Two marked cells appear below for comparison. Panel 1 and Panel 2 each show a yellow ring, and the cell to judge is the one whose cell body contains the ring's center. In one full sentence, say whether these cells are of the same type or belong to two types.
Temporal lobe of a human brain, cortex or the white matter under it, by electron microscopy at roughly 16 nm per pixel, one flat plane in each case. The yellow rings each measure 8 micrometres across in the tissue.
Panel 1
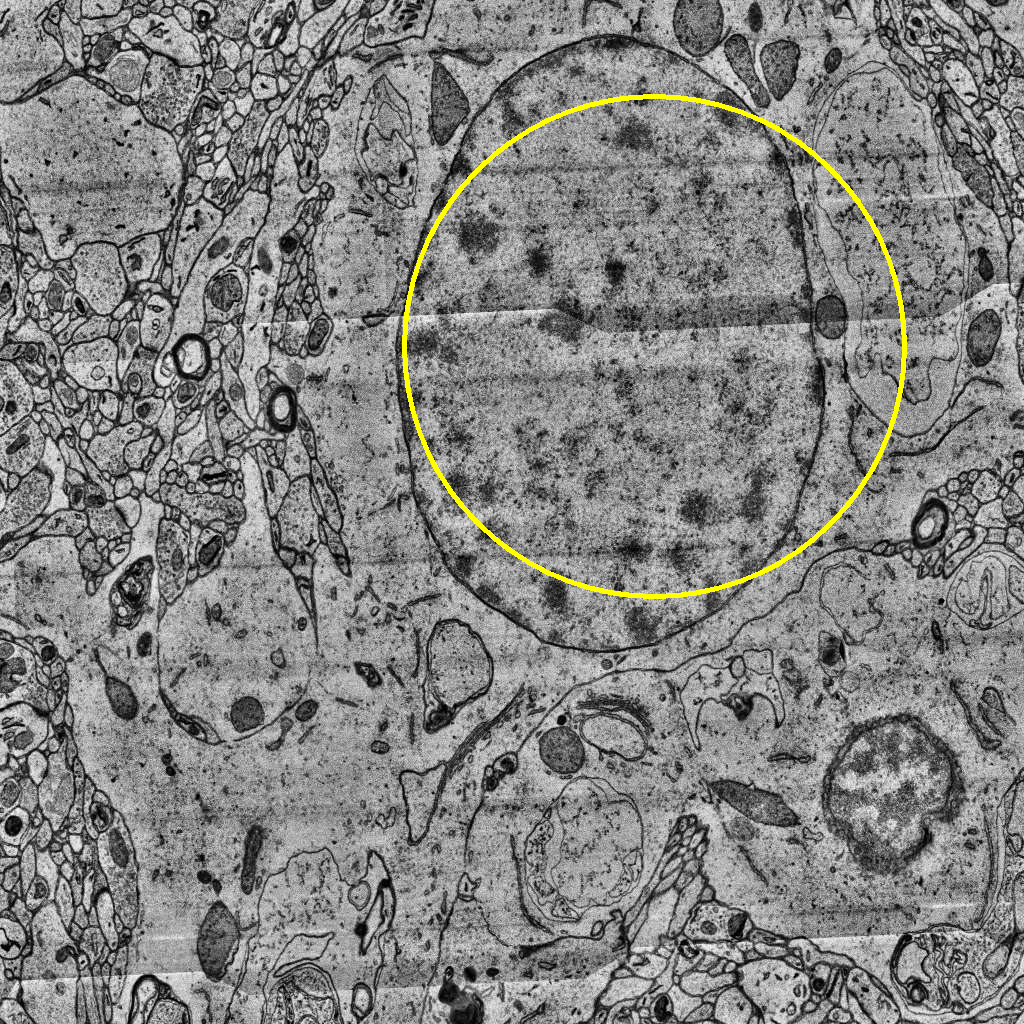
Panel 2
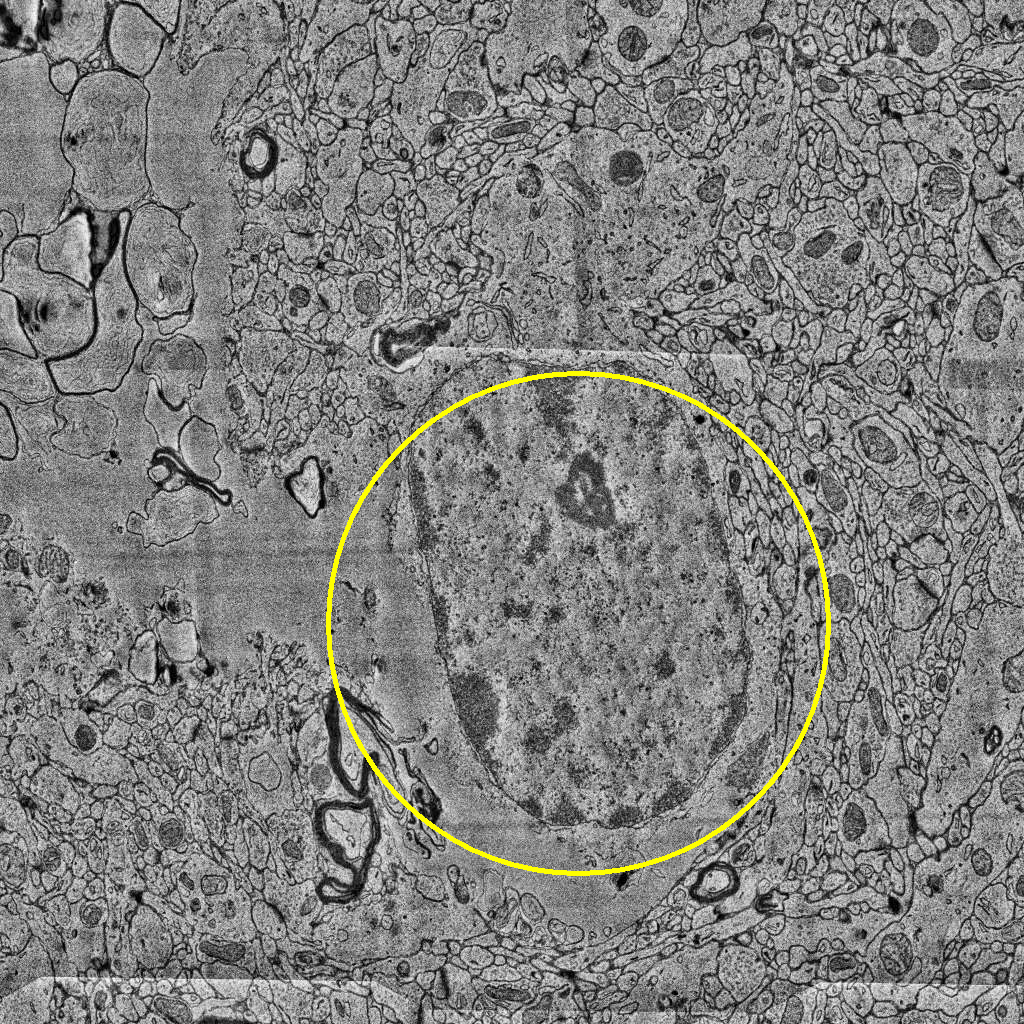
The cell at the ring's center in Panel 1 and the one in Panel 2 belong to two types.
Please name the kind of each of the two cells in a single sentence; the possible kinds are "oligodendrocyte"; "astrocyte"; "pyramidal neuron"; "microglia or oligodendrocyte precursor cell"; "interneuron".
In the first picture it is an astrocyte; in the second it is a microglial cell or oligodendrocyte precursor cell.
